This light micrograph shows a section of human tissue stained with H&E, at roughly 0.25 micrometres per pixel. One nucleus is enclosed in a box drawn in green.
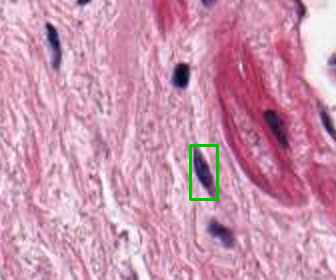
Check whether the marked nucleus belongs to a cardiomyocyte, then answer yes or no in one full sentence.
No, a supporting cell rather than a cardiomyocyte is the cell of the marked nucleus.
